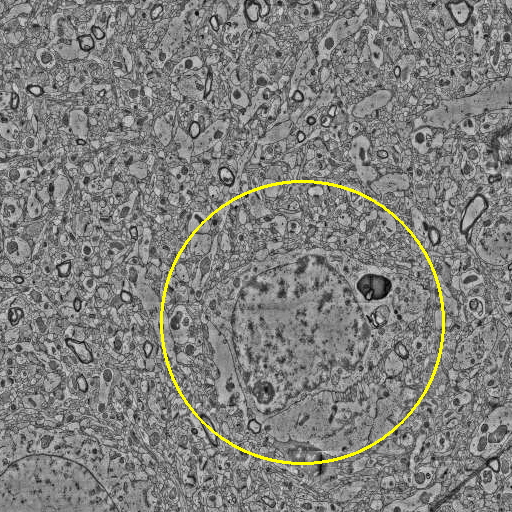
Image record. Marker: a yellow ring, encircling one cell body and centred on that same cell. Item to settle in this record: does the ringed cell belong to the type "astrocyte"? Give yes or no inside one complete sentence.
No, in the picture, the cell centred within the yellow ring is of a different type.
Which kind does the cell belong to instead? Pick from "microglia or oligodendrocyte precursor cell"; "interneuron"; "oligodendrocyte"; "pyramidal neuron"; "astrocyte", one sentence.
What the ring is centred on is an interneuron.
